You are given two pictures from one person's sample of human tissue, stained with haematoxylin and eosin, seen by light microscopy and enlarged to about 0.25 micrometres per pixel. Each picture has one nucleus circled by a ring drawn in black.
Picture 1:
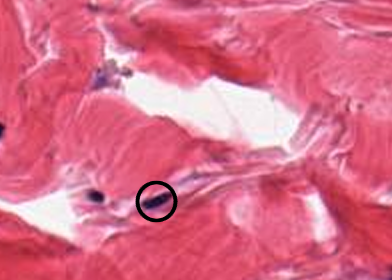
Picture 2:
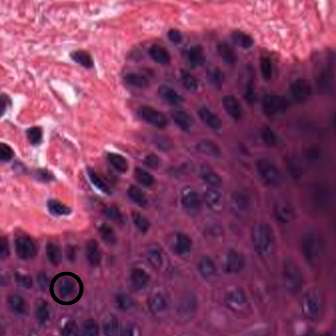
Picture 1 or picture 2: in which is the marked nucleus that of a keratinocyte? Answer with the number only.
2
